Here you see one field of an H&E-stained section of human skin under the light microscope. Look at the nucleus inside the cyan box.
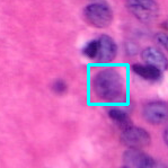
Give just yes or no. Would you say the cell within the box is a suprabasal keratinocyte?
no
